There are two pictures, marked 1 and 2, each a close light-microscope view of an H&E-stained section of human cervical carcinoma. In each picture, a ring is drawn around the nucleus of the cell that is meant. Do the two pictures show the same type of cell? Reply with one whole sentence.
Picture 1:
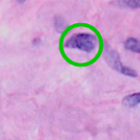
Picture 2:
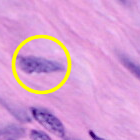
Yes; the cells in both pictures are fibroblasts.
